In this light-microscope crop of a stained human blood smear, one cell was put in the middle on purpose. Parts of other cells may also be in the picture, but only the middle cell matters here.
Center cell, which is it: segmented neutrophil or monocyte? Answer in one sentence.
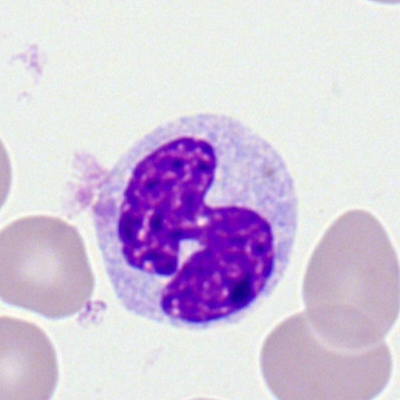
Here the cell in the middle is a monocyte.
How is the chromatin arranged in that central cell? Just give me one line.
This nucleus has coarsely clumped chromatin.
